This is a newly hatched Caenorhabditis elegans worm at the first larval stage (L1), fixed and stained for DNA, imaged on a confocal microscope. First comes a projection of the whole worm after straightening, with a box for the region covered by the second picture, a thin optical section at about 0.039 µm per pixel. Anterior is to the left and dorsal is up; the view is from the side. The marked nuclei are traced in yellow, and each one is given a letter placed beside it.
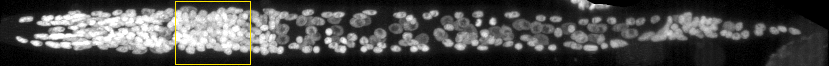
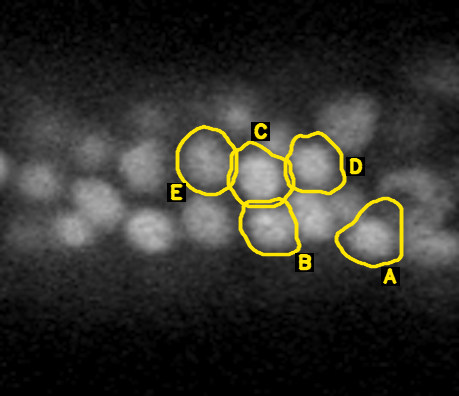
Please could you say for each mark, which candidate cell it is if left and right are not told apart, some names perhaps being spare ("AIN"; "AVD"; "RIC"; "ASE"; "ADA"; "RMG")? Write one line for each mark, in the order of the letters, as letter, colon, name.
A: ADA
B: RIC
C: AVD
D: AIN
E: ASE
